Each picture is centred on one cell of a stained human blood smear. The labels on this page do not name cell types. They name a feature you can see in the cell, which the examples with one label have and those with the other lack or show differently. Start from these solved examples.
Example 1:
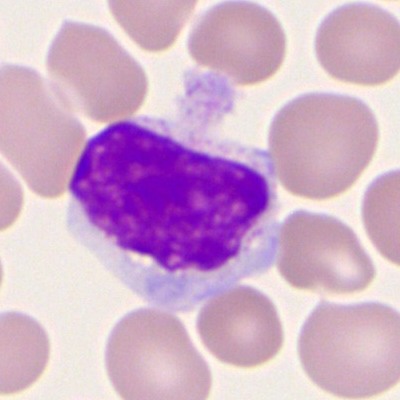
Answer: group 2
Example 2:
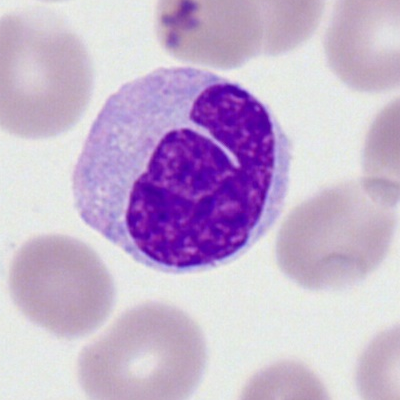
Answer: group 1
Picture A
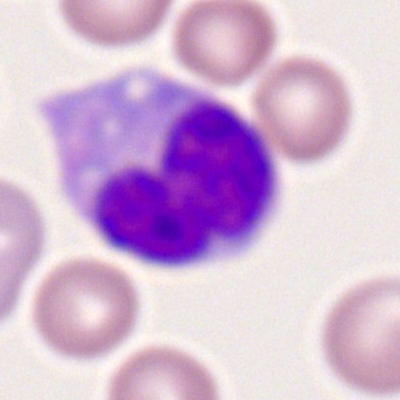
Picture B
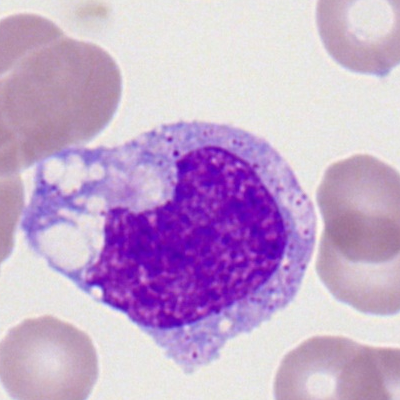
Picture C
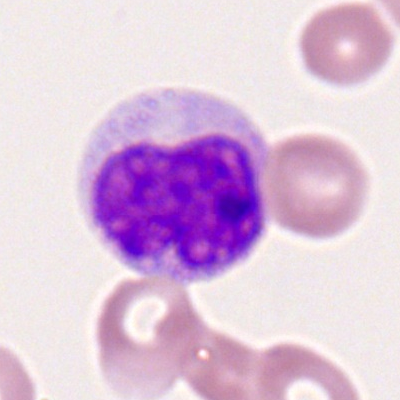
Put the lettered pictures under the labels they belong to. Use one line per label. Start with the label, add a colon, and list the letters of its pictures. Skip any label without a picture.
group 2: C
group 1: A, B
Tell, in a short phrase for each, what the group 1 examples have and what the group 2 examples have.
In group 1: abundant cytoplasm. In group 2: scant cytoplasm.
